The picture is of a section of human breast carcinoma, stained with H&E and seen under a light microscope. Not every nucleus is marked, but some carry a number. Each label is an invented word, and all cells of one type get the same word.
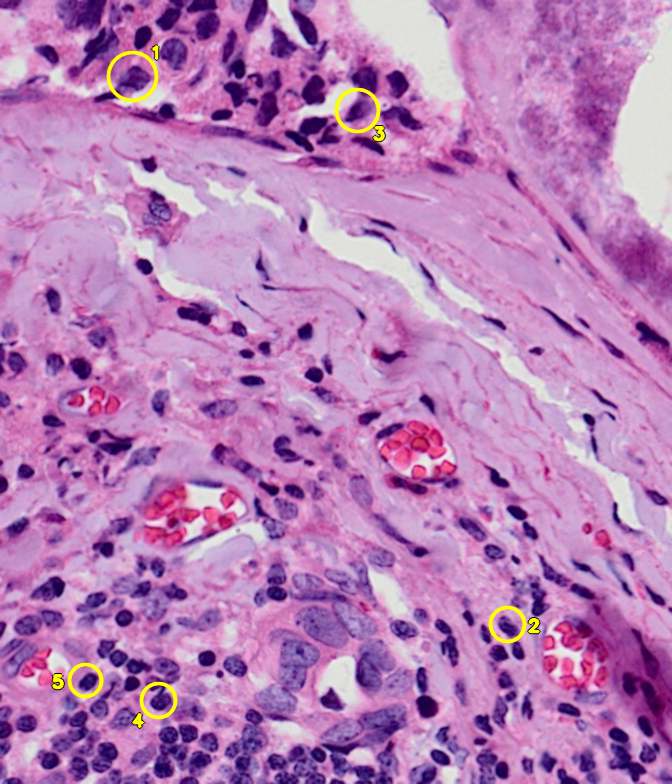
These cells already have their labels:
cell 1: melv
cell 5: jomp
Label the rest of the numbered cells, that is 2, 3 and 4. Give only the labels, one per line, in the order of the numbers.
jomp
melv
jomp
